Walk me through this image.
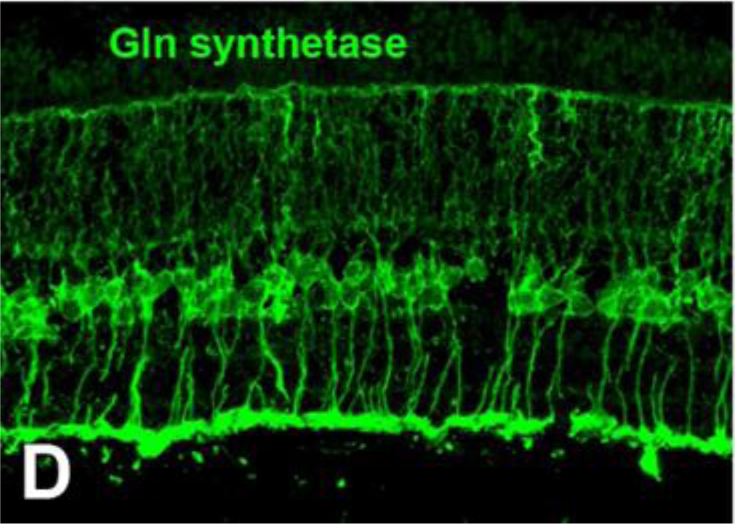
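This vertical section of retina shows the radial glial cells of the retina, the Müller cells, labelled green. Their cell bodies sit in a middle band of the tissue, and from them thin, mostly straight processes run vertically both outward and inward across nearly the whole retinal thickness. At the inner edge the processes broaden into endfeet that fuse into a continuous bright band, while at the outer edge they end at a thin horizontal line. Together the regularly spaced fibres form a palisade-like scaffold through the retina.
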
